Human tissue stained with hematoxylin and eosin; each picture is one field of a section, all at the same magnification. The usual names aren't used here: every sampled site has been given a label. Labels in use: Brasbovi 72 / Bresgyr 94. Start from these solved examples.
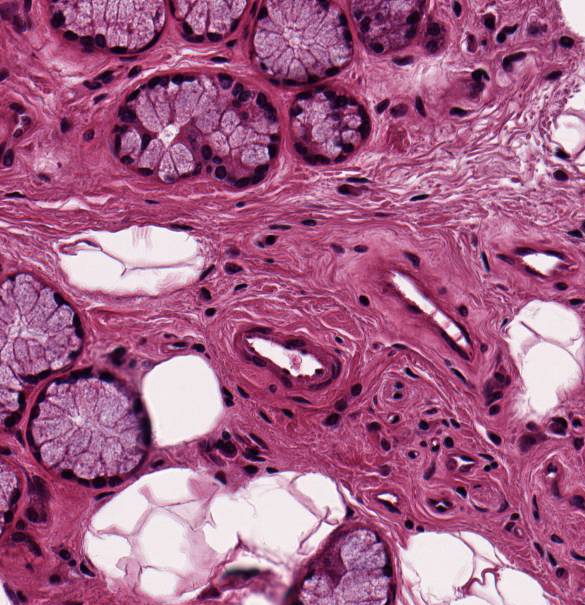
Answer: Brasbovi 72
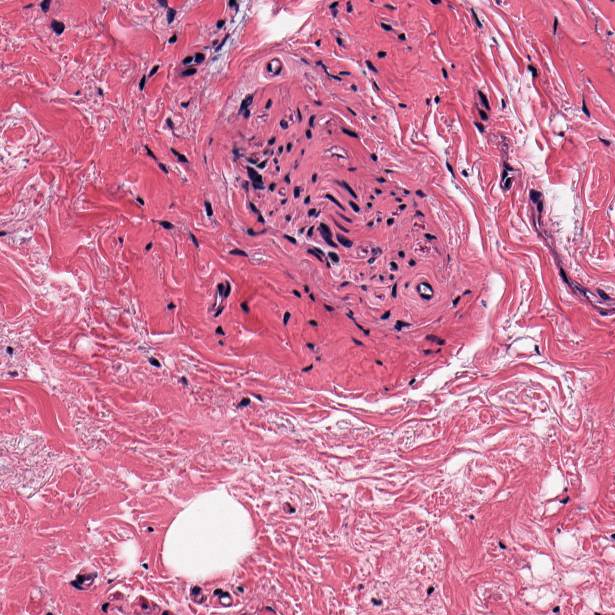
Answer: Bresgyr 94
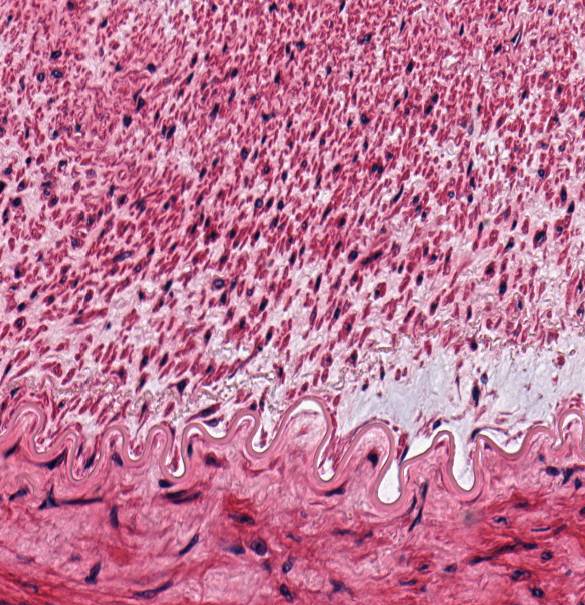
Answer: Bresgyr 94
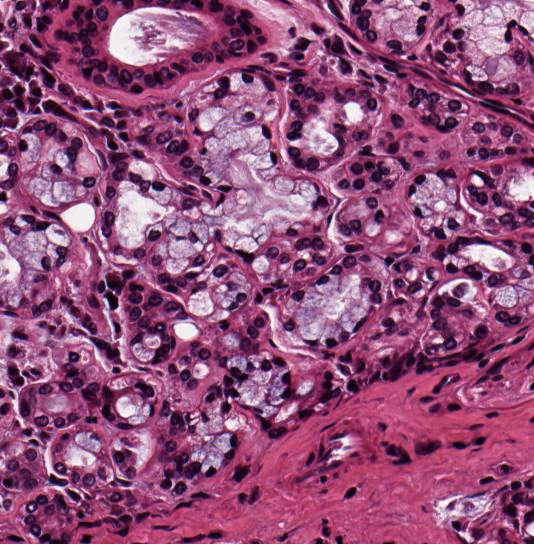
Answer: Brasbovi 72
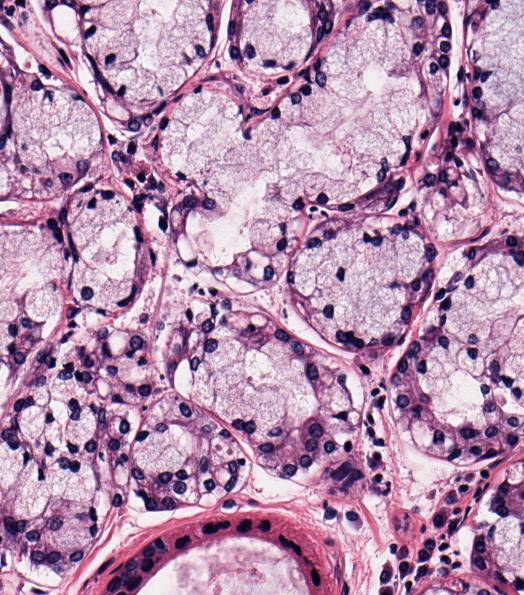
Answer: Brasbovi 72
